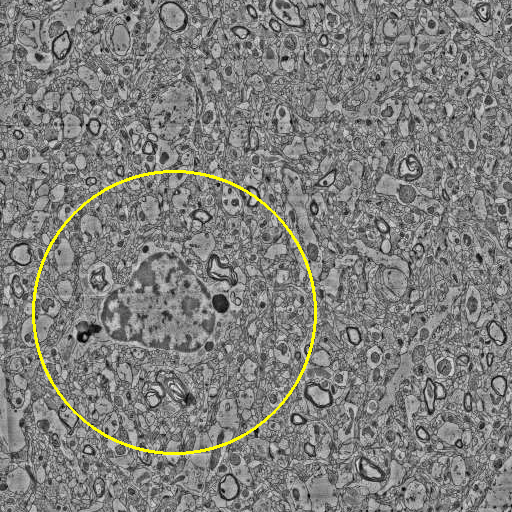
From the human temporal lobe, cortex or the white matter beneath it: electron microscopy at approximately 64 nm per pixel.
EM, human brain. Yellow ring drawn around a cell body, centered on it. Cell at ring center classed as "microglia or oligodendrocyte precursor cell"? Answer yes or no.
yes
